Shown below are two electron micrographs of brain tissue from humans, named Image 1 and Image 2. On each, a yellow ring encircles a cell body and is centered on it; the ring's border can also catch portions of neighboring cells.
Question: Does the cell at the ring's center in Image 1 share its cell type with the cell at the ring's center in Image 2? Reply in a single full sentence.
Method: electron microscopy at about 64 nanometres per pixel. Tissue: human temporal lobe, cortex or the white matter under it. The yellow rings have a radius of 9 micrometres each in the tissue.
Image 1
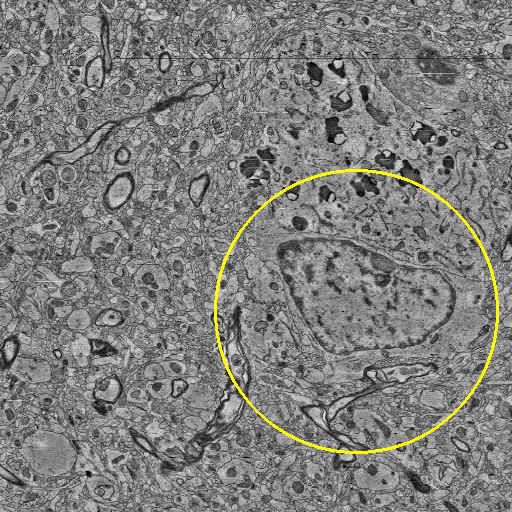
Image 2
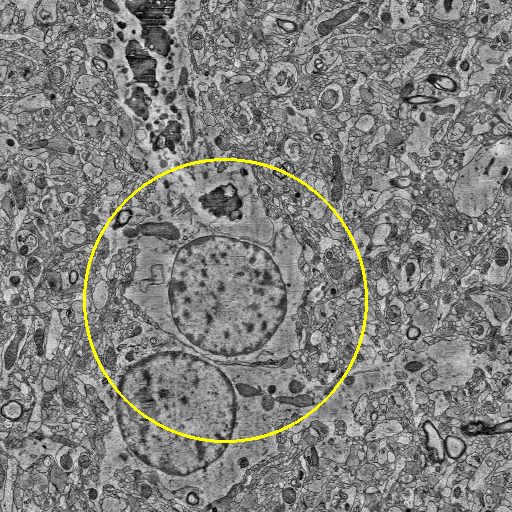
No, the two cells at the ring centers, in Image 1 and Image 2, are of two cell types.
